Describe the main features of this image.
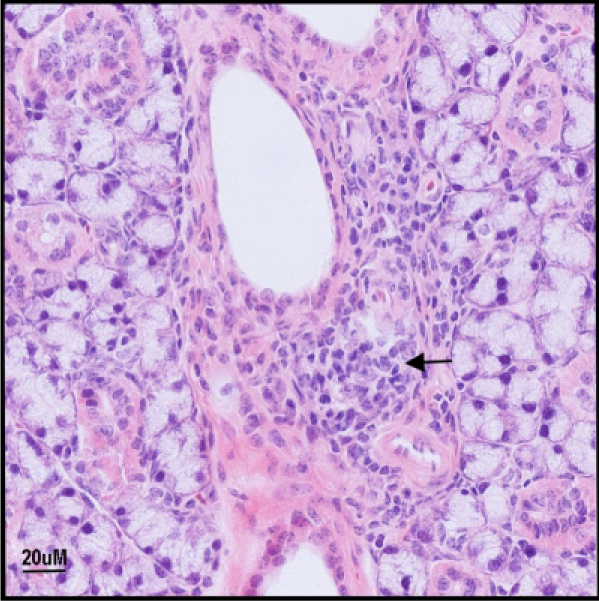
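Salivary gland tissue with a focal collection of lymphocytes around a duct and vessel, beside acini. A large empty oval lumen sits near the top centre, surrounded by a band of pink connective tissue. Within and around this band many small, round, densely dark purple nuclei are crowded together, most densely near a small vessel at the lower centre, where an arrow points. Around the focus lie pale, foamy acinar cells in rounded clusters with small dark nuclei pushed to the cell bases, and a few pink-staining duct segments with central lumens. The acini outside the focus look ordinary.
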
